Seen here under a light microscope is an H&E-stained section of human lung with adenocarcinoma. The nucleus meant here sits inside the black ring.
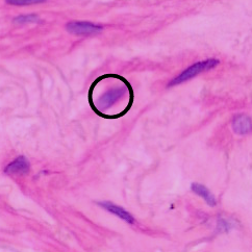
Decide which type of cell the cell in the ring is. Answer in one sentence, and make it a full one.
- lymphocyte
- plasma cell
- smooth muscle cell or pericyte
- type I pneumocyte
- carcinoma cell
In cell-type terms, the cell in the ring is a smooth muscle cell or pericyte.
